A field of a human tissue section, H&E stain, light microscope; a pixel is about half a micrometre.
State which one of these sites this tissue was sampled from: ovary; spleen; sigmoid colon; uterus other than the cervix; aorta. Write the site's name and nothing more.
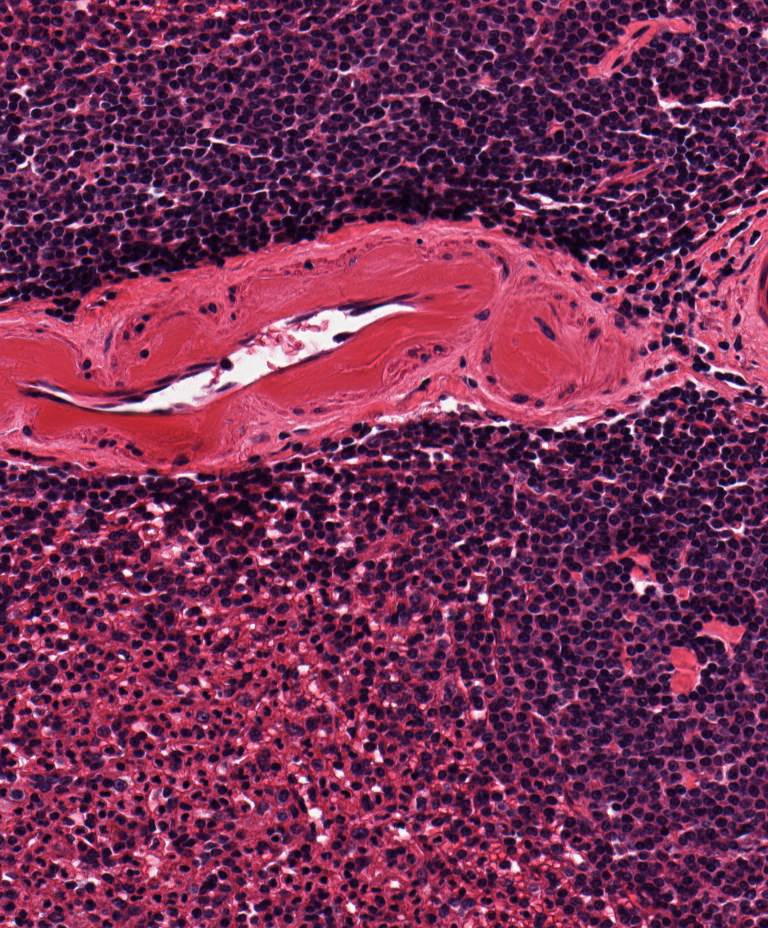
spleen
